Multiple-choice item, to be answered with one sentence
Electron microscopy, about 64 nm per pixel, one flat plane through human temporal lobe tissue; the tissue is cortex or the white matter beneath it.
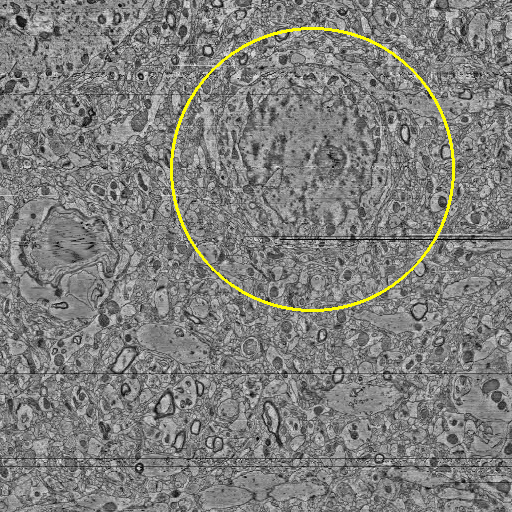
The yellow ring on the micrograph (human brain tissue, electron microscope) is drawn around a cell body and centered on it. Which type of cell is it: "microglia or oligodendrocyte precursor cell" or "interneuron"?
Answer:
The ring is centered on an interneuron.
